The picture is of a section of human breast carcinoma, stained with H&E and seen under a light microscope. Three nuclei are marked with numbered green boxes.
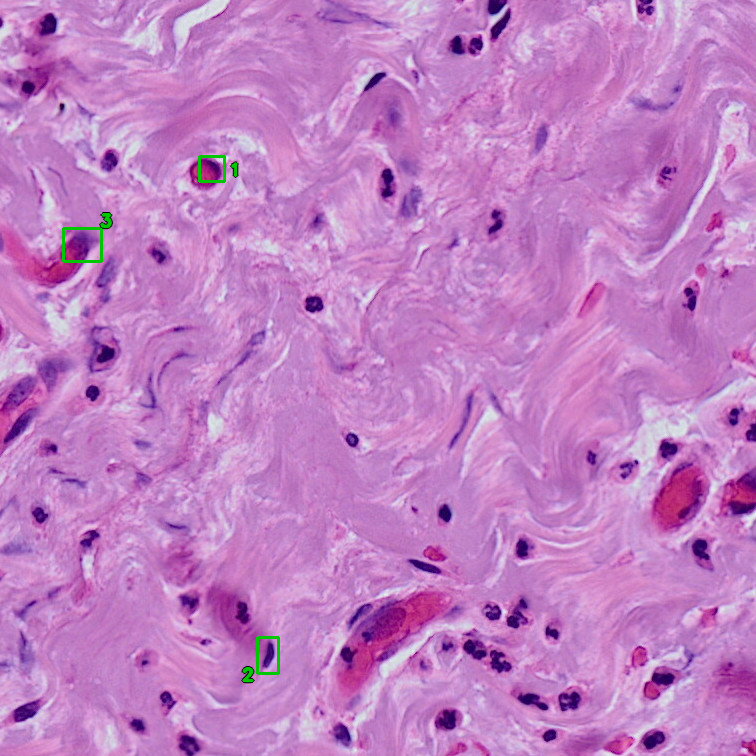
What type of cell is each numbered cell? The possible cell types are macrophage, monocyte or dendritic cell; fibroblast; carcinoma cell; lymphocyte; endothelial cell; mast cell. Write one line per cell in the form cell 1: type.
cell 1: endothelial cell
cell 2: fibroblast
cell 3: endothelial cell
